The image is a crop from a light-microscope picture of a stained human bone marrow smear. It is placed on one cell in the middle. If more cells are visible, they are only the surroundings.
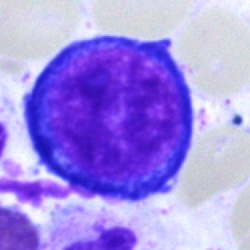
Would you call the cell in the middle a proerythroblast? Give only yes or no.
yes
